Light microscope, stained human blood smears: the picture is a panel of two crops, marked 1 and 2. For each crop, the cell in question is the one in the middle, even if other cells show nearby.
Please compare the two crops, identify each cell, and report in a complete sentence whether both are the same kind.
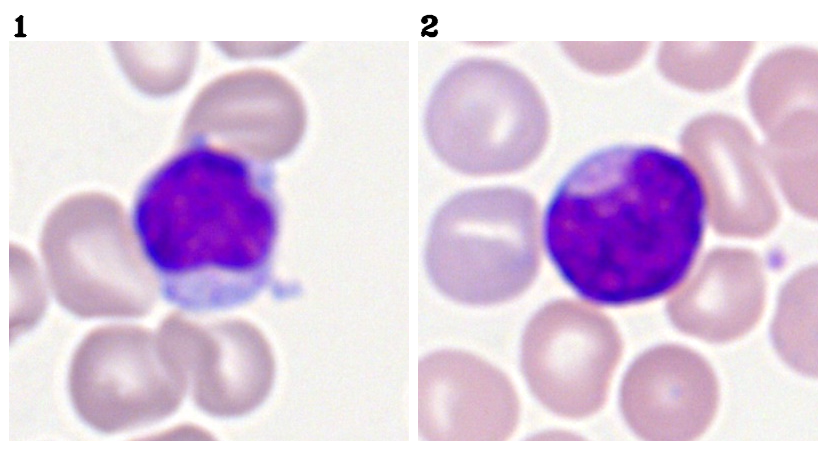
No, crop 1 corresponds to a lymphocyte, while crop 2 corresponds to a blast.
